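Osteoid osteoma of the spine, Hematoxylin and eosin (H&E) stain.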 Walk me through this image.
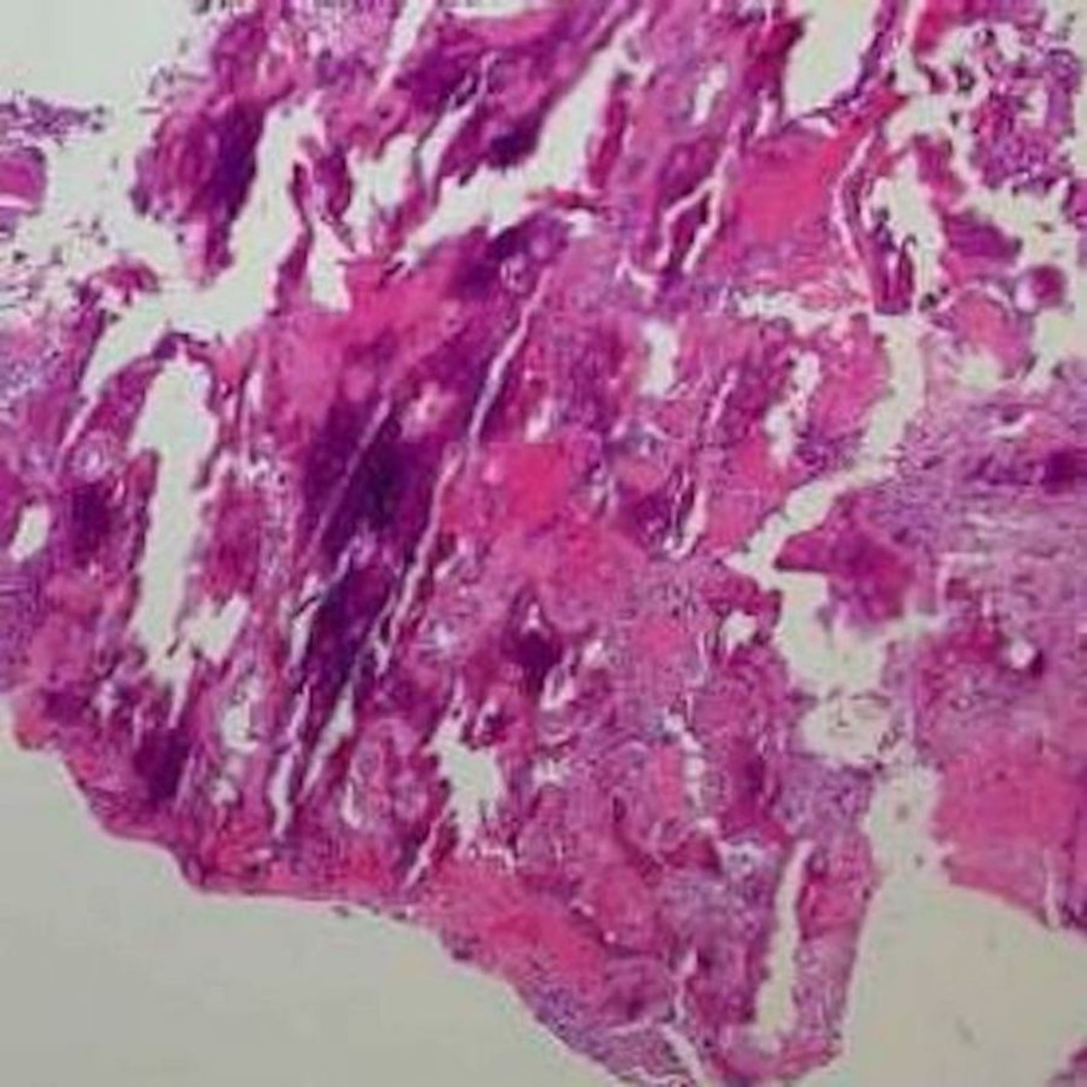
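At this low magnification you are looking at a fragment of bone-forming tissue, made up of bony trabeculae set in a cellular fibroblastic stroma. The trabeculae are the irregular, interlacing bands of bright pink matrix, some with darker purple streaks, that run across the field in many directions. Between and around them lie looser areas where many small purple nuclei are packed together, giving a speckled lilac appearance; this is the cell-rich stroma. The tissue is broken by many clear clefts and cracks, which come from cutting hard matrix. Look for the crowded cellular areas lying right against the pink bands, showing how closely the cells and the bony matrix are mixed.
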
